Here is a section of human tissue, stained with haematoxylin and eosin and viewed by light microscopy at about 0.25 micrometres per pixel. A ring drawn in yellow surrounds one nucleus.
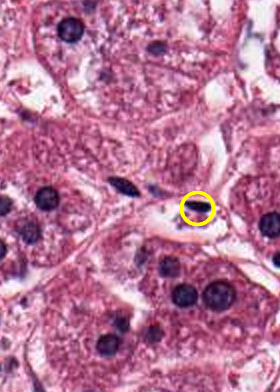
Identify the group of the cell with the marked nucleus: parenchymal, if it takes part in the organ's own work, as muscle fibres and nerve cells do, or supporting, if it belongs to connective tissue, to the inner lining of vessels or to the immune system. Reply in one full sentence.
Identified as a supporting cell is the cell holding the marked nucleus.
